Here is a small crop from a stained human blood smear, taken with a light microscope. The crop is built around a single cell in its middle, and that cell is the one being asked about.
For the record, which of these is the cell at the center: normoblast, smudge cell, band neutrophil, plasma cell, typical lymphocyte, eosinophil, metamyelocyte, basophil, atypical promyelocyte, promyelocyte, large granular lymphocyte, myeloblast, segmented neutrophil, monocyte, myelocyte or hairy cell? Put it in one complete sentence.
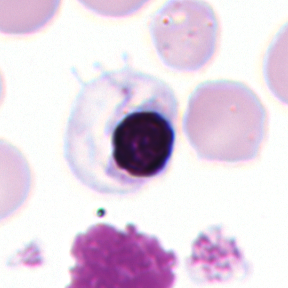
Among the cells in view, the one in the middle is a normoblast.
